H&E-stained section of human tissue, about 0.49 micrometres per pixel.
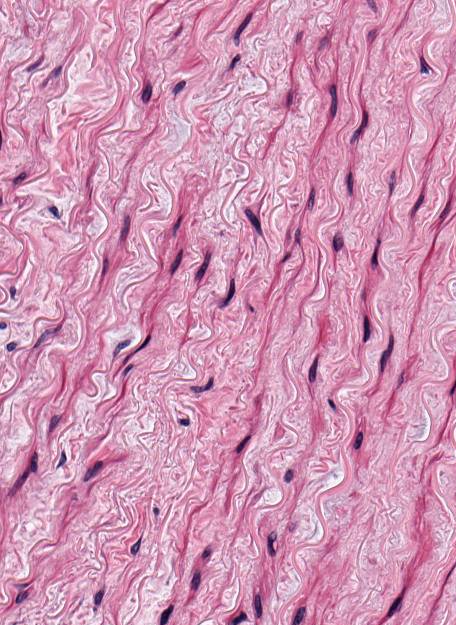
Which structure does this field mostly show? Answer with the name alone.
tunica media of an artery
